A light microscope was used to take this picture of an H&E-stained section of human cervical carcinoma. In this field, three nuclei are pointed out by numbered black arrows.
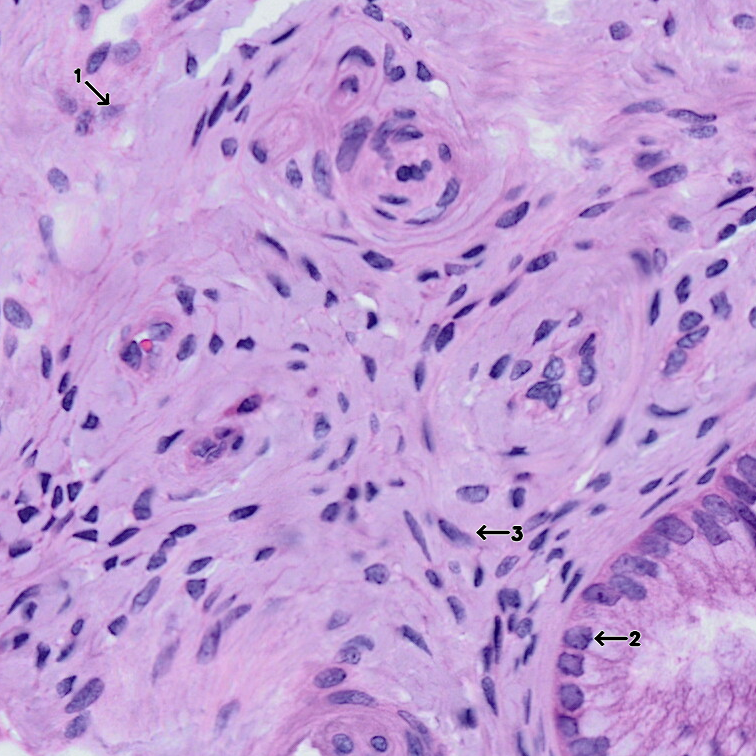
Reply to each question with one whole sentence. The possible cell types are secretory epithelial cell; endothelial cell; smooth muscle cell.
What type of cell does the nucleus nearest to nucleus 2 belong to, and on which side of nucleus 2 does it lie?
Lying below nucleus 2, the nearest nucleus is that of a secretory epithelial cell.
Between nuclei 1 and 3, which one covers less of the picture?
With nucleus 3 about 2.5 times its size, nucleus 1 is the smaller of the two.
